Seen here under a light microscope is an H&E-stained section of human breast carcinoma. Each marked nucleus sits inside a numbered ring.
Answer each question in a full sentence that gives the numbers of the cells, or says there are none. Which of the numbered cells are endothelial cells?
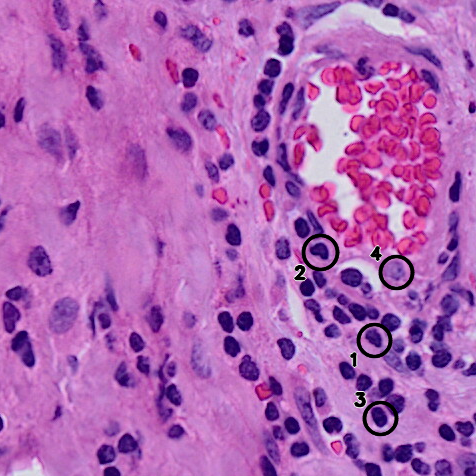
It is only cell 4 that is an endothelial cell among the numbered cells.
